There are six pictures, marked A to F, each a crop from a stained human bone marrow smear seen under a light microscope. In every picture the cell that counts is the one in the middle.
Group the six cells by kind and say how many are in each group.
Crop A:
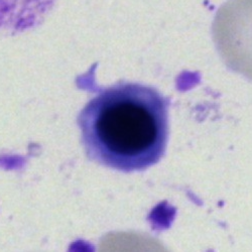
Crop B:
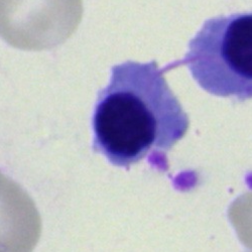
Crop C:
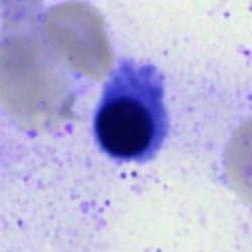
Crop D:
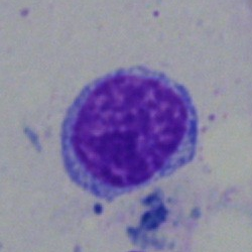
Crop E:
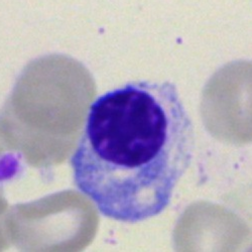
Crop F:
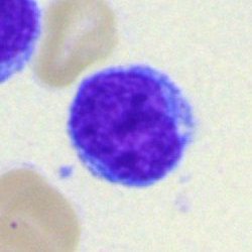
erythroblast: 4
lymphocyte: 1
blast: 1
